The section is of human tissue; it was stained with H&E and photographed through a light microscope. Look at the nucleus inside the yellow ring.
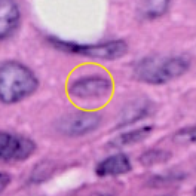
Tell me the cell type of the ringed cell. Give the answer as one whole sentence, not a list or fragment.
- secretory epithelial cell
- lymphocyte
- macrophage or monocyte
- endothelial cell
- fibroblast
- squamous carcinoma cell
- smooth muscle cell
As a matter of cell type, the ringed cell is a squamous carcinoma cell.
